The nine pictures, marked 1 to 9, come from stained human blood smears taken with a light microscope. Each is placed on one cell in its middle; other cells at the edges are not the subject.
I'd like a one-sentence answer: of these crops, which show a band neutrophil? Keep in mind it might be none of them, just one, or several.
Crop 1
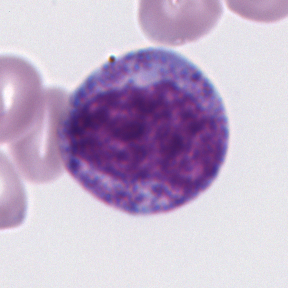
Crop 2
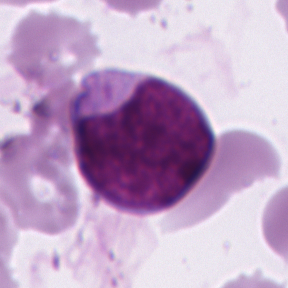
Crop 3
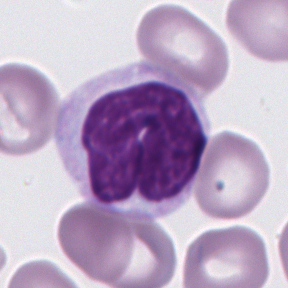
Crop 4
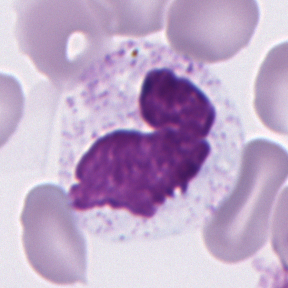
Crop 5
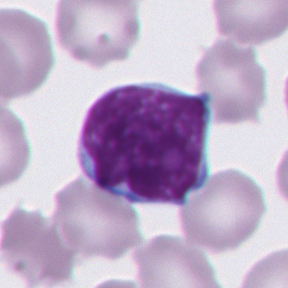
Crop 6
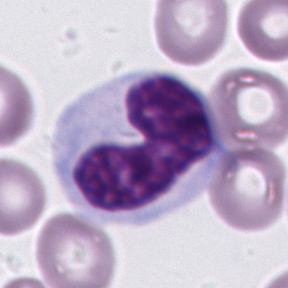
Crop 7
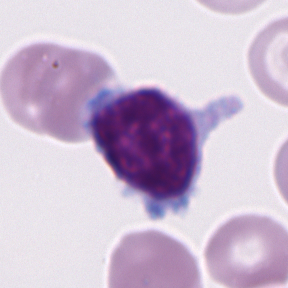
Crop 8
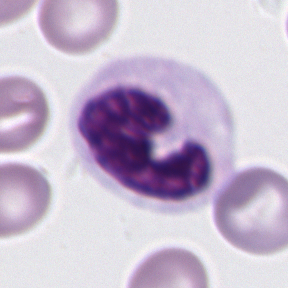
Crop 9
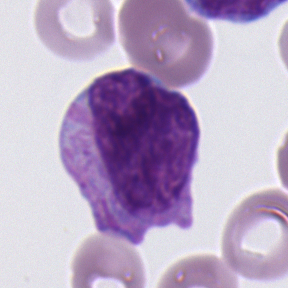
The cells in crops 3, 4, 6 and 8 are band neutrophils.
